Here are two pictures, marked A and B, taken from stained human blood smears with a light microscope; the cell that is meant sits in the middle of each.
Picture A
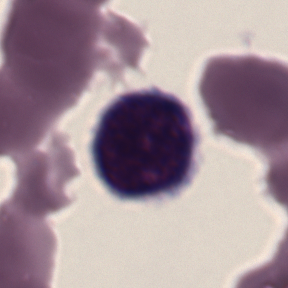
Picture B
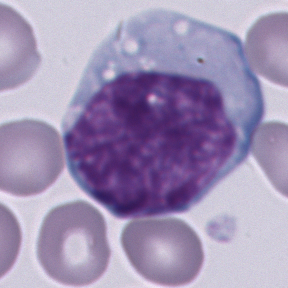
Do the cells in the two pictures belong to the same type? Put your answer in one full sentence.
No, picture A shows a hairy cell and picture B shows a myeloblast.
